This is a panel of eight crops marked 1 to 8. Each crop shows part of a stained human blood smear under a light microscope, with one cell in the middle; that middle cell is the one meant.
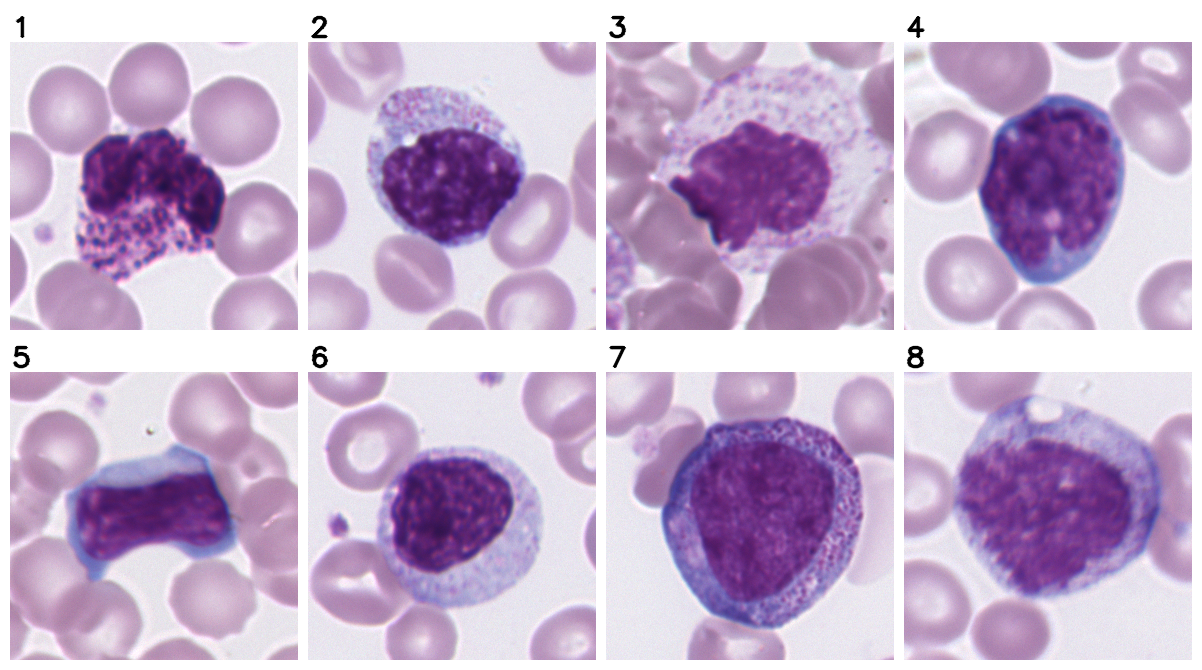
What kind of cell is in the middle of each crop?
1: basophil
2: myelocyte
3: segmented neutrophil
4: blast
5: lymphocyte
6: metamyelocyte
7: promyelocyte
8: promyelocyte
